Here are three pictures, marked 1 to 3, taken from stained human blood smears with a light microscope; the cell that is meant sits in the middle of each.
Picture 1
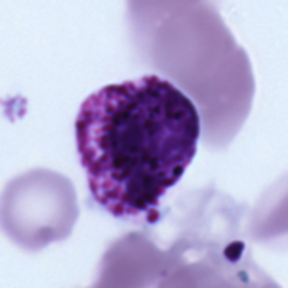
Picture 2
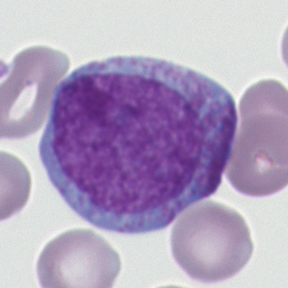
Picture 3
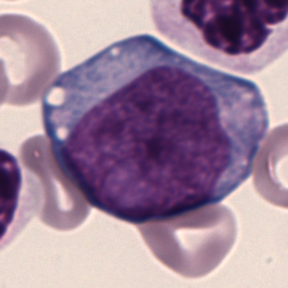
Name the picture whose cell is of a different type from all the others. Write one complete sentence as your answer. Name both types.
The different one is picture 1; it shows a basophil, whereas all the others show promyelocytes.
